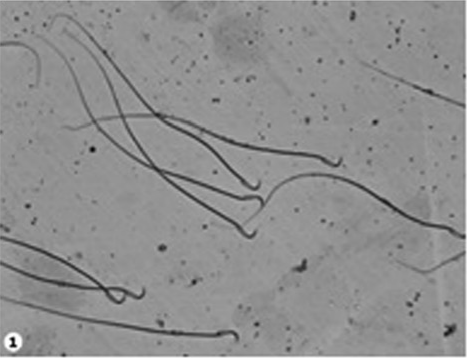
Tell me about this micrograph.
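Smear of whole sperm, each with a small hooked head and a long thin tail. The heads are curved like hooks and stain darker grey than the background. Head and tail are continuous in each cell, without sharp folds. Scattered small dark particles lie on the background.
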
